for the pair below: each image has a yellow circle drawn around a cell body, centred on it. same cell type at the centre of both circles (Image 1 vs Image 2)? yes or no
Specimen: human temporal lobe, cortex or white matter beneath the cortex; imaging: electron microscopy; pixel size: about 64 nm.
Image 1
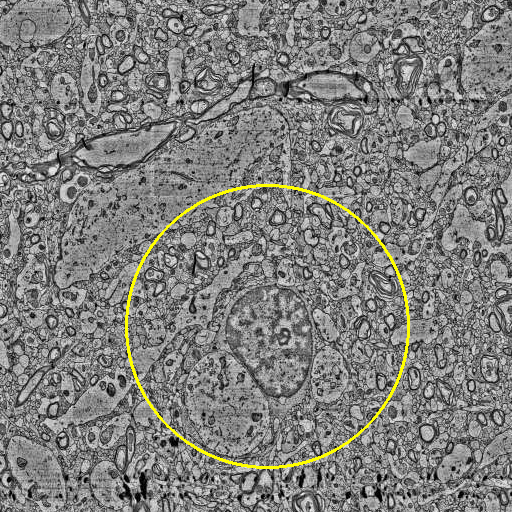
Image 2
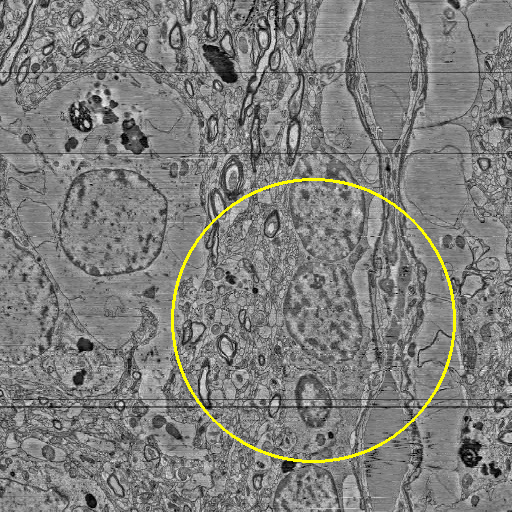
yes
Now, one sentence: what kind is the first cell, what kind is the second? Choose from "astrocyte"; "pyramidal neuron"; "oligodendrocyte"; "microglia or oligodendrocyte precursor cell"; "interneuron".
Each cell, in the first picture and the second, is an oligodendrocyte.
